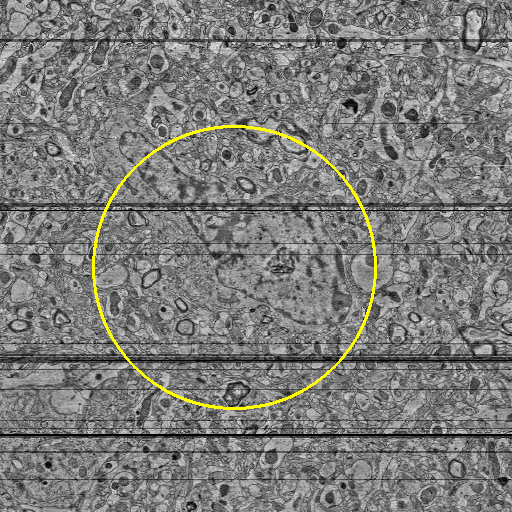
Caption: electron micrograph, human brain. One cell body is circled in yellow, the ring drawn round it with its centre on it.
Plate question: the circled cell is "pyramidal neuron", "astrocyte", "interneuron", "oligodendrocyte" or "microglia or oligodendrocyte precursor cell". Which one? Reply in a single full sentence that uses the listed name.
The yellow ring on the plate is centred on a microglial cell or oligodendrocyte precursor cell, going by the listed names.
